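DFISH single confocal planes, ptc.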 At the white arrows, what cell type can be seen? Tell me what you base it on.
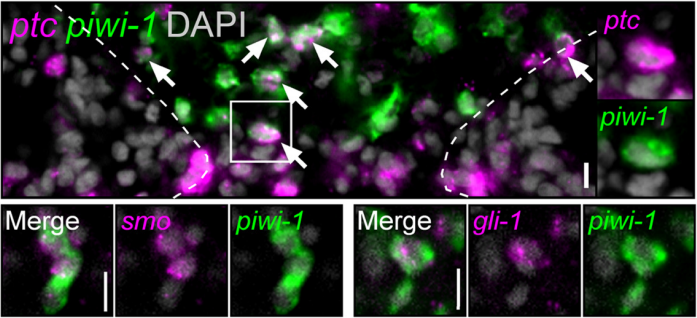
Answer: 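Stem cells. The arrowed cells are small, round cells with a nucleus that fills most of the cell. The arrowed cells lie scattered in the region between the dashed lines.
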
